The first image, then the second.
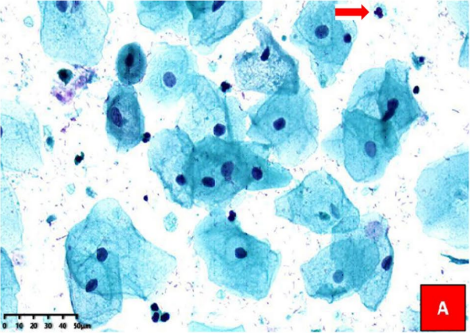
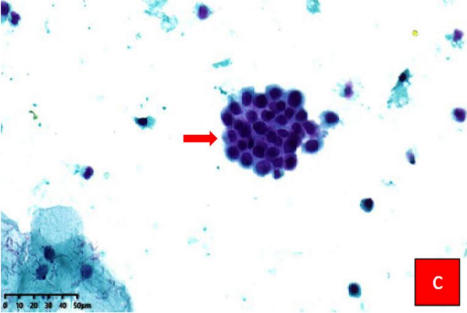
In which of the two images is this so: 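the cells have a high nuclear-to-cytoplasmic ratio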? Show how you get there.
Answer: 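The second image. Second image: a cluster of cells whose purple nuclei fill nearly the whole cell. First image: large flat cells with small nuclei amid abundant cytoplasm.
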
